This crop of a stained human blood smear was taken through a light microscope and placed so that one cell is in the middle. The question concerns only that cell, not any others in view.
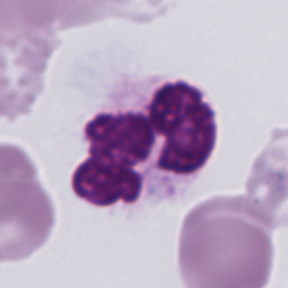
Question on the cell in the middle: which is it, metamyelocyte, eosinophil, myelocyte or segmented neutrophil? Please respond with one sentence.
The cell at the centre of the field is a segmented neutrophil.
